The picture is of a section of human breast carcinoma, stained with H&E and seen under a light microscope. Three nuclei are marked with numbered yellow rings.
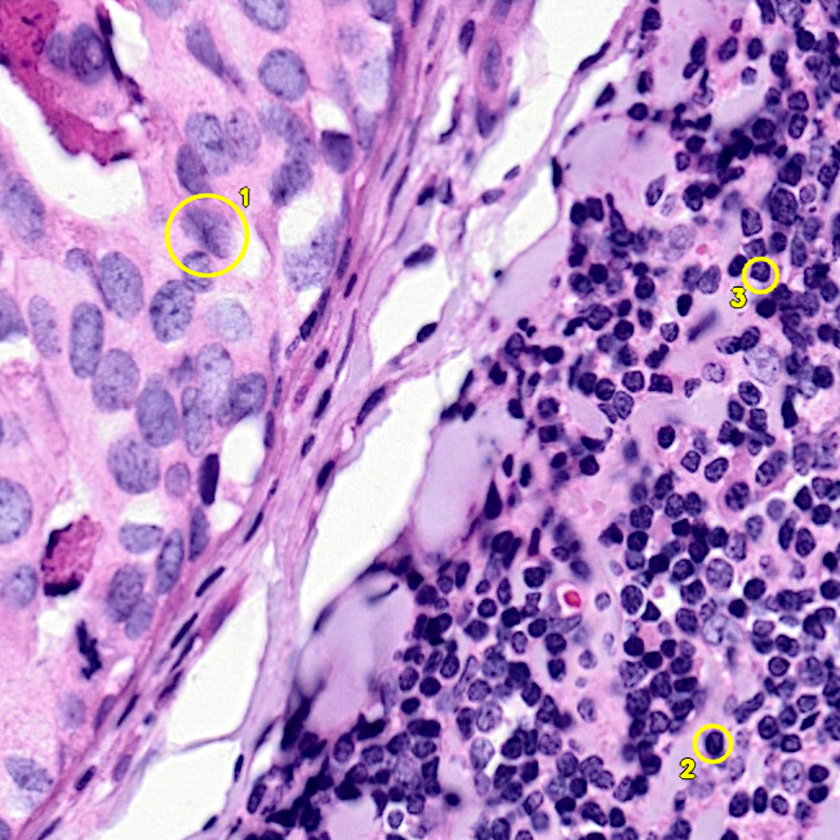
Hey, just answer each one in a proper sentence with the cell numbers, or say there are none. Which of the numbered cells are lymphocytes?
The identity of cells 2 and 3: they are lymphocytes.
